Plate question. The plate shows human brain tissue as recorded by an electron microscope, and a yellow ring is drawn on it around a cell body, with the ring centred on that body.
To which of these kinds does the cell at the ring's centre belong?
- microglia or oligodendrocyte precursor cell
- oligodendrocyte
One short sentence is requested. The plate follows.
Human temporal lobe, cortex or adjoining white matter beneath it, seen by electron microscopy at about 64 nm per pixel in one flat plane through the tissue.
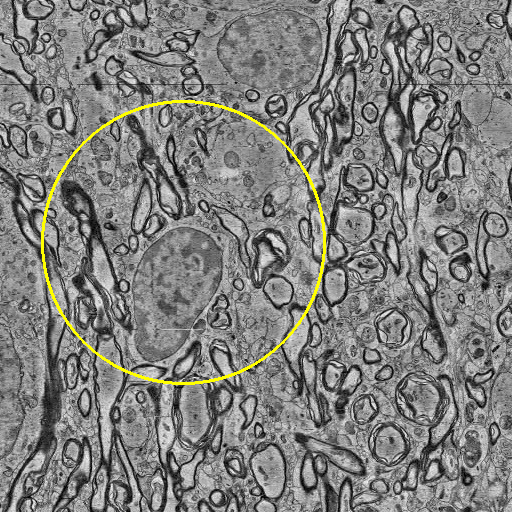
The cell at the ring's centre is a microglial cell or oligodendrocyte precursor cell.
